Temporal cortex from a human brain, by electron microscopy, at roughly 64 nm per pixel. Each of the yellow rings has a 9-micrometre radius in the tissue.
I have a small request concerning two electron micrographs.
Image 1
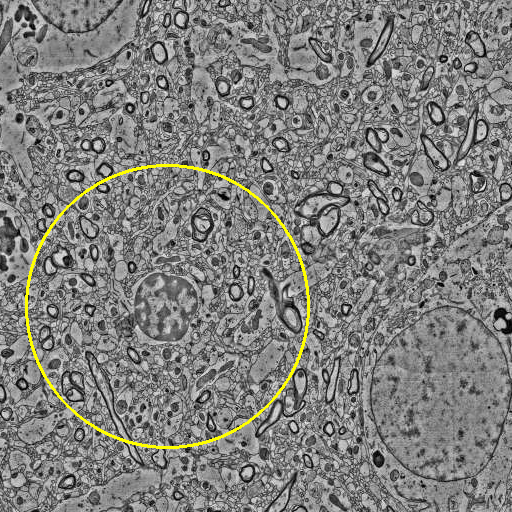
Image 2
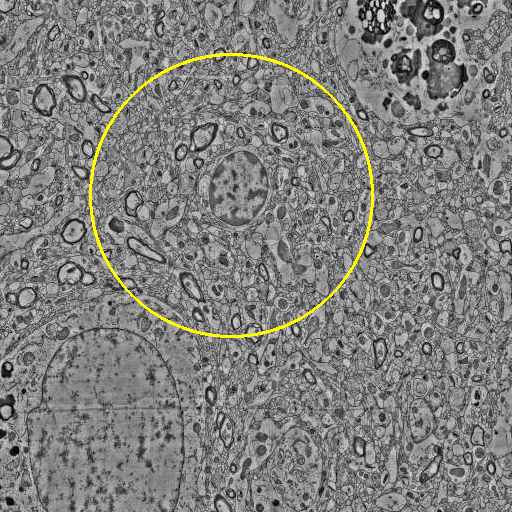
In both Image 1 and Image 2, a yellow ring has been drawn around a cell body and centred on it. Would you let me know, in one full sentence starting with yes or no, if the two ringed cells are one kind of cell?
Yes, the cells ringed in Image 1 and Image 2 are one kind of cell.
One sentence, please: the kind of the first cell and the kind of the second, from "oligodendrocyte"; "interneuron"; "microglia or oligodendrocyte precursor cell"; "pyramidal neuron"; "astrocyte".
In both pictures the ring is centred on a microglial cell or oligodendrocyte precursor cell.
